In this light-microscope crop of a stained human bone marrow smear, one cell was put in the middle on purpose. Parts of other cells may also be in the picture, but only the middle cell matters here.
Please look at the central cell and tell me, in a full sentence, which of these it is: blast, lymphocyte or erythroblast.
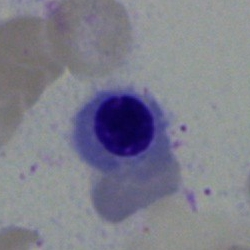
Of the cells in this crop, the central one is an erythroblast.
